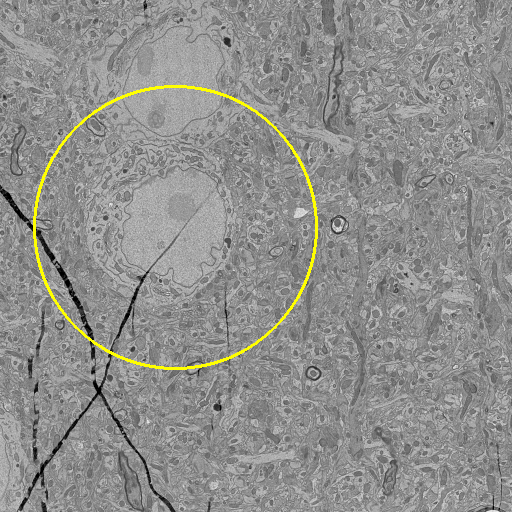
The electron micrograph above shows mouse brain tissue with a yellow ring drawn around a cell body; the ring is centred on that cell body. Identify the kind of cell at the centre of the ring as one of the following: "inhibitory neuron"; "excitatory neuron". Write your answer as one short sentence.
The cell at the centre of the ring is an inhibitory neuron.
